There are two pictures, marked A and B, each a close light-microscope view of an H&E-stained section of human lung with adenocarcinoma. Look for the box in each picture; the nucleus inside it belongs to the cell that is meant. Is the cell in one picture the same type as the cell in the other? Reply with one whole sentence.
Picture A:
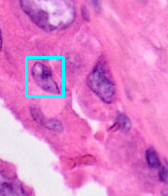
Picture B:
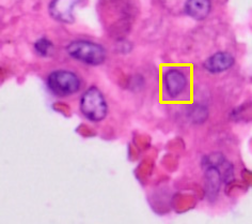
Yes, both cells are “macrophages or monocytes”.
